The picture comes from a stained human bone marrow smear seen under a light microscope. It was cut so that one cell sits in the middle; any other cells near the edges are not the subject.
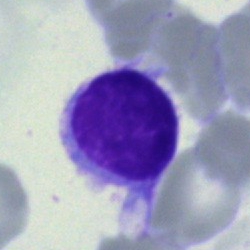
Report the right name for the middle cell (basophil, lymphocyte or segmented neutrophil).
lymphocyte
